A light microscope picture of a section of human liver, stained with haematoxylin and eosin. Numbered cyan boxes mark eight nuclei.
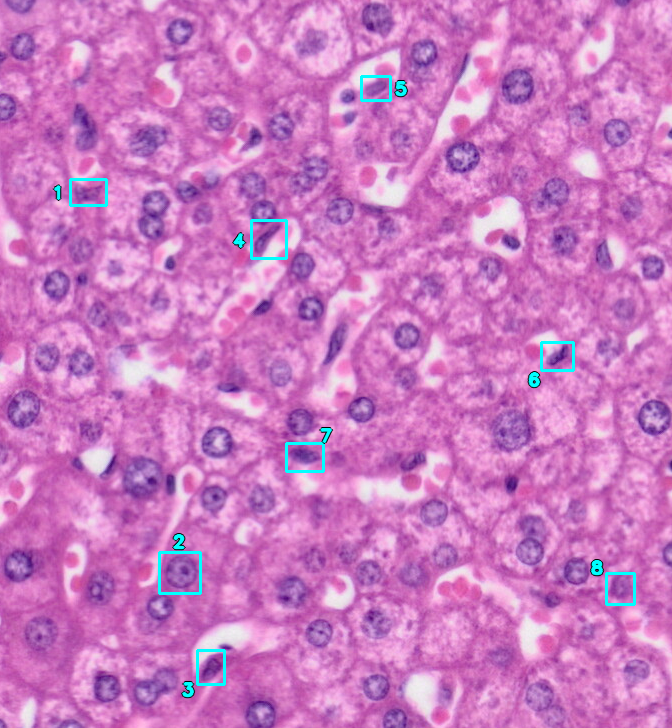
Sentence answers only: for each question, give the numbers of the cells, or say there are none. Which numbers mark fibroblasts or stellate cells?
As for the numbered cells, only cell 7 is a fibroblast or stellate cell.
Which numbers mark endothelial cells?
The cells 1 and 6 in this section are endothelial cells.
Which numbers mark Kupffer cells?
In terms of cell type, cells 3, 4 and 5 are Kupffer cells.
